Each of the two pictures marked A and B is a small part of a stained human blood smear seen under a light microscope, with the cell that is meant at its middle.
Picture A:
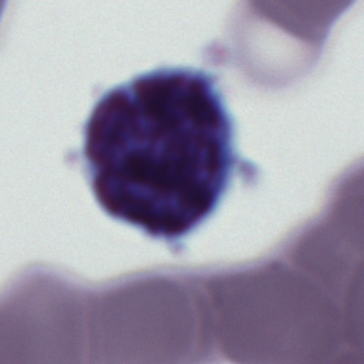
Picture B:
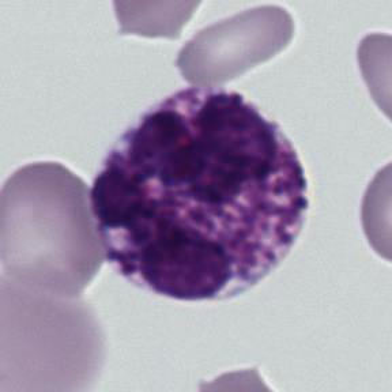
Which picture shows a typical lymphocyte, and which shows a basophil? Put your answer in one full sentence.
It is picture A that shows a typical lymphocyte, and picture B that shows a basophil.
